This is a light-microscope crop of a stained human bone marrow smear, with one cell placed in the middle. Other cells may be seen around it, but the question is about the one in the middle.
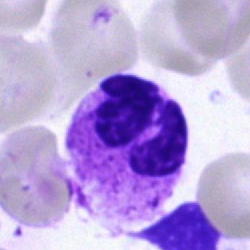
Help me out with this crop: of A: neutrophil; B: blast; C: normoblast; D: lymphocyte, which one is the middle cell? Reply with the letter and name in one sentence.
In this crop the middle cell is a neutrophil, so option A is the correct answer.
